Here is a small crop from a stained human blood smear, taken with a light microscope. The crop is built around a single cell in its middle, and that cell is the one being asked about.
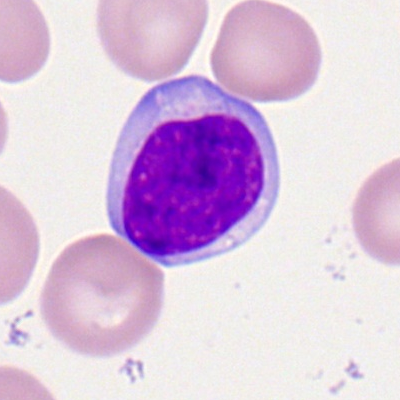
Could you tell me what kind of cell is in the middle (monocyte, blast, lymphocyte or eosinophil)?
lymphocyte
